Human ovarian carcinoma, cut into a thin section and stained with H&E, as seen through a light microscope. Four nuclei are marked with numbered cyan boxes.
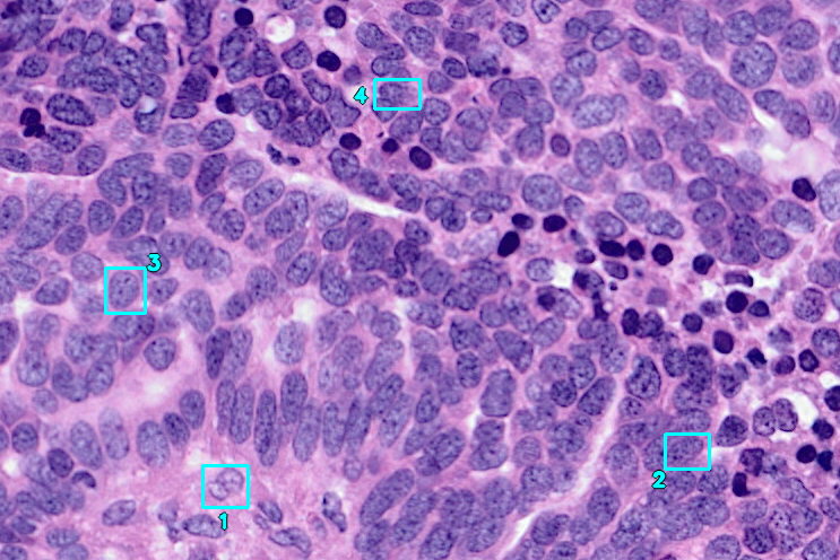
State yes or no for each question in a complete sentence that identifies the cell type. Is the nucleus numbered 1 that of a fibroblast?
Yes, the cell given number 1 is a fibroblast.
